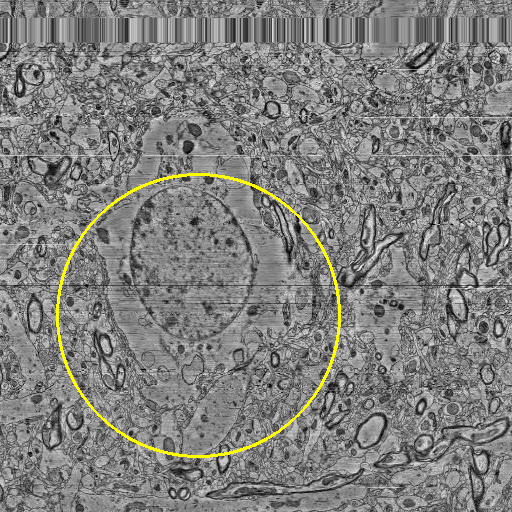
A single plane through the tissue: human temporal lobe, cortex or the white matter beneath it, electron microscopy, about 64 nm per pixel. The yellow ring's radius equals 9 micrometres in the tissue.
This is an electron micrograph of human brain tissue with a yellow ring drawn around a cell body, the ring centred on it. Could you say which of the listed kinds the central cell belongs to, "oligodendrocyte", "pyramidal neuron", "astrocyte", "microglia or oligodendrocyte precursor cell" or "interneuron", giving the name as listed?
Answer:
astrocyte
